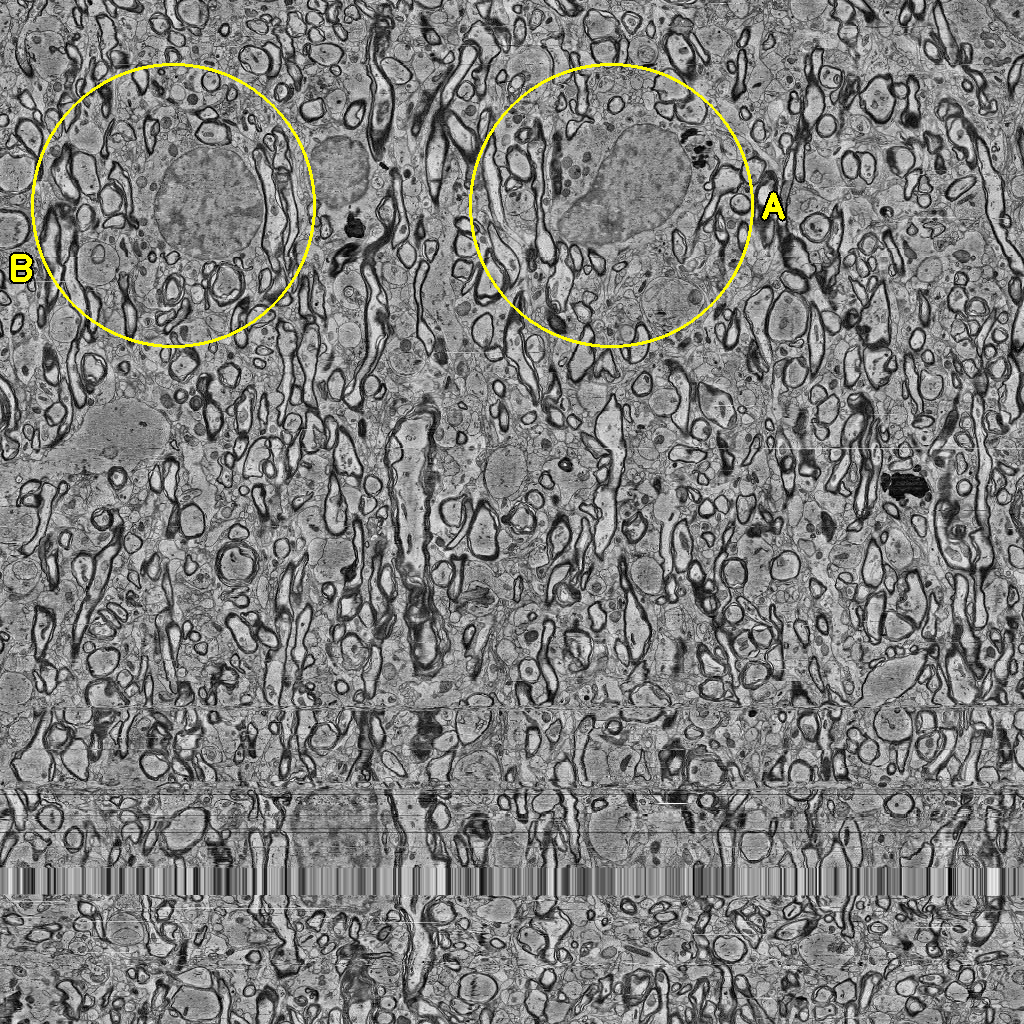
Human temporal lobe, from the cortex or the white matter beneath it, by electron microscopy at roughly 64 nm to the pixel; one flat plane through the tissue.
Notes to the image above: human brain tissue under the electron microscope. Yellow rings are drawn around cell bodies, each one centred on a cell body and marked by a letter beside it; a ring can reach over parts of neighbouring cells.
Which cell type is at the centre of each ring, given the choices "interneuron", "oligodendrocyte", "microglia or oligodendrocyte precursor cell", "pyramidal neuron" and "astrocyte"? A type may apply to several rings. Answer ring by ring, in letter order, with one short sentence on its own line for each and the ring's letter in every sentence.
Inside ring A, at its centre, is an oligodendrocyte.
Inside ring B, at its centre, is an oligodendrocyte.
